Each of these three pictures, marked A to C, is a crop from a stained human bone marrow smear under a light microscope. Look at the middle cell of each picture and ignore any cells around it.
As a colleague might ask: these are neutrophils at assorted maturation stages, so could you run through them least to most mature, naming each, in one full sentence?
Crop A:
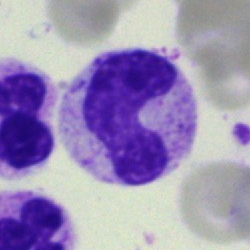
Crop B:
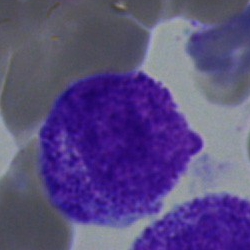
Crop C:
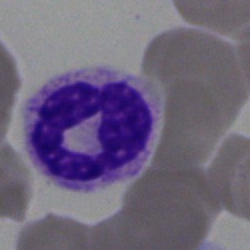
Beginning with the least mature, the order is crop B (a myelocyte), crop A (a band neutrophil) and crop C (a segmented neutrophil).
